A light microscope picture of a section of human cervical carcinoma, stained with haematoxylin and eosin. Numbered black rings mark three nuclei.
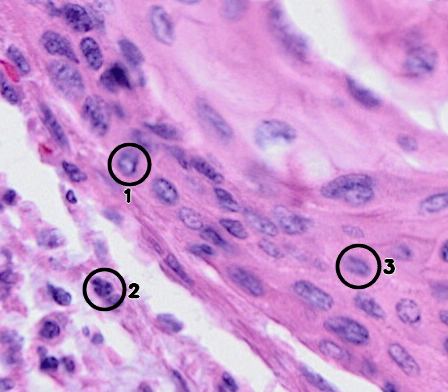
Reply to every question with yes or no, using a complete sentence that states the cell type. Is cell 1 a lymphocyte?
No, the cell with the number 1 is a squamous carcinoma cell, not a lymphocyte.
